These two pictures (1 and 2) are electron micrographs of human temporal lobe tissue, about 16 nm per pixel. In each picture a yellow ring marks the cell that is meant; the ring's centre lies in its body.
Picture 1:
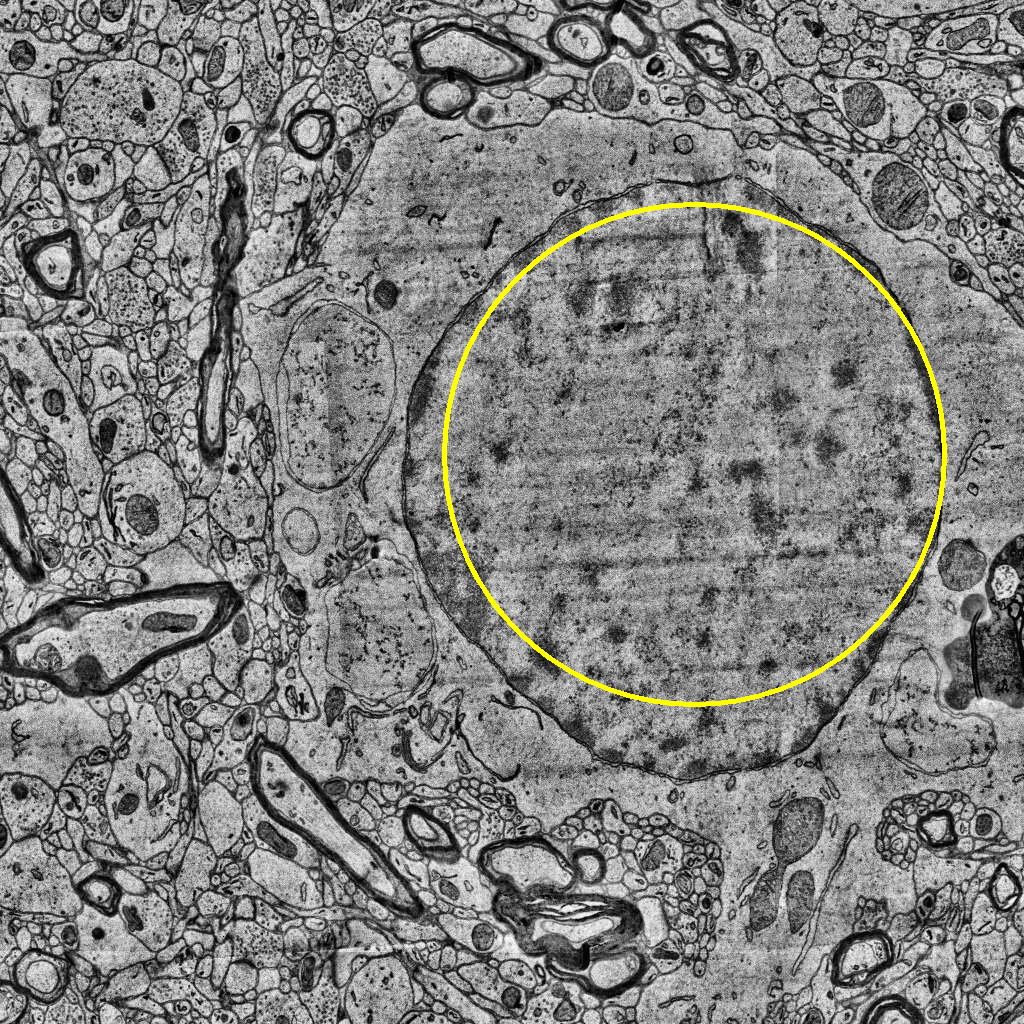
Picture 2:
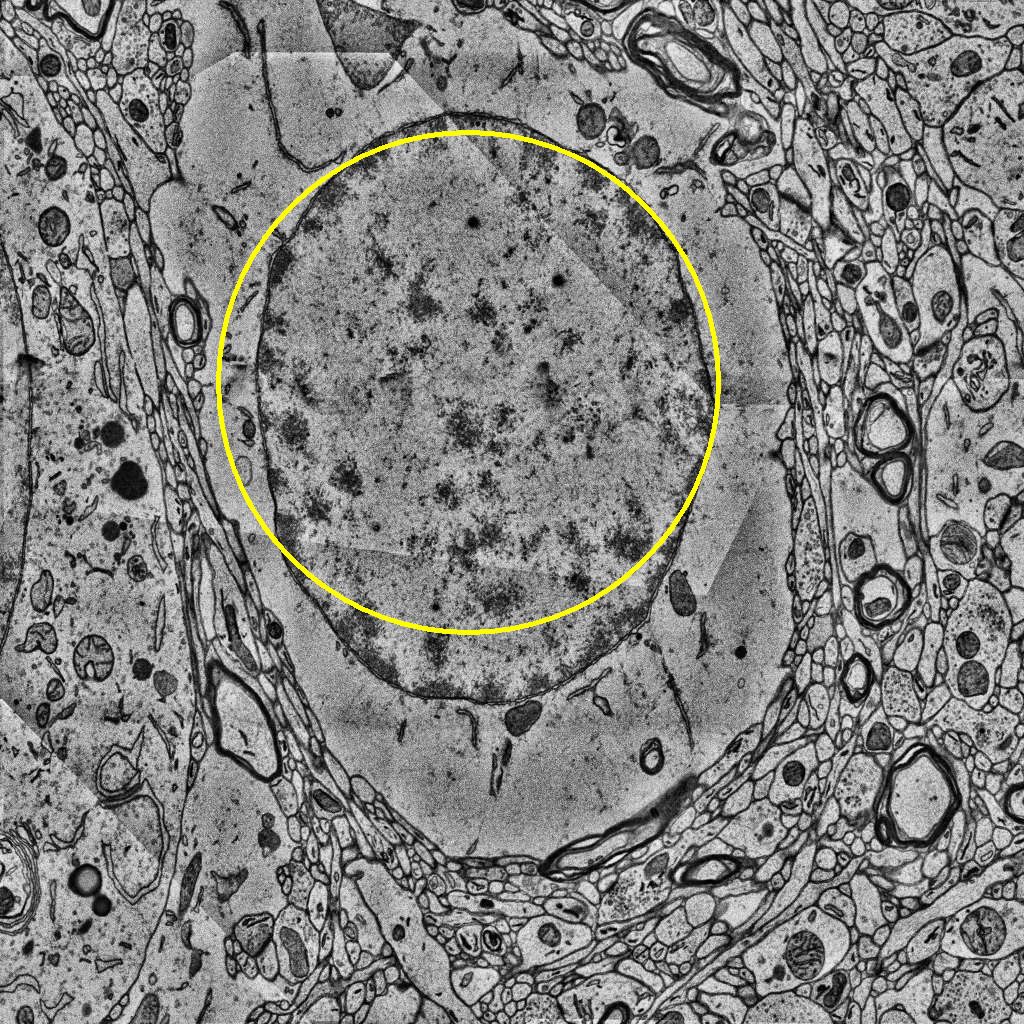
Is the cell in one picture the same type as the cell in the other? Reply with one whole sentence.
Yes, both are astrocytes.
